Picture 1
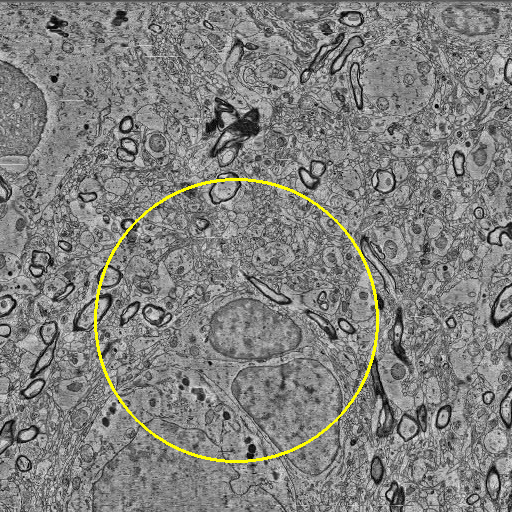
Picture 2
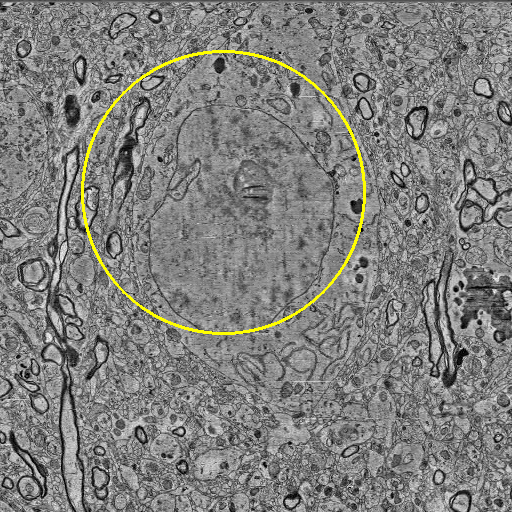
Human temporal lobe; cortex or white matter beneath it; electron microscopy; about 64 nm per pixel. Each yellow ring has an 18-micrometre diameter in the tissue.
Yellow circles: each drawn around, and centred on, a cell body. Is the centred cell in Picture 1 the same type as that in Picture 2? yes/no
no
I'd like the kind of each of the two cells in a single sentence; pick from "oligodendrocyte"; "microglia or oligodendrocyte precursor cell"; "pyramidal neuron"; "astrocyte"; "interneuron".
The first ring marks an oligodendrocyte, and the second ring marks a pyramidal neuron.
